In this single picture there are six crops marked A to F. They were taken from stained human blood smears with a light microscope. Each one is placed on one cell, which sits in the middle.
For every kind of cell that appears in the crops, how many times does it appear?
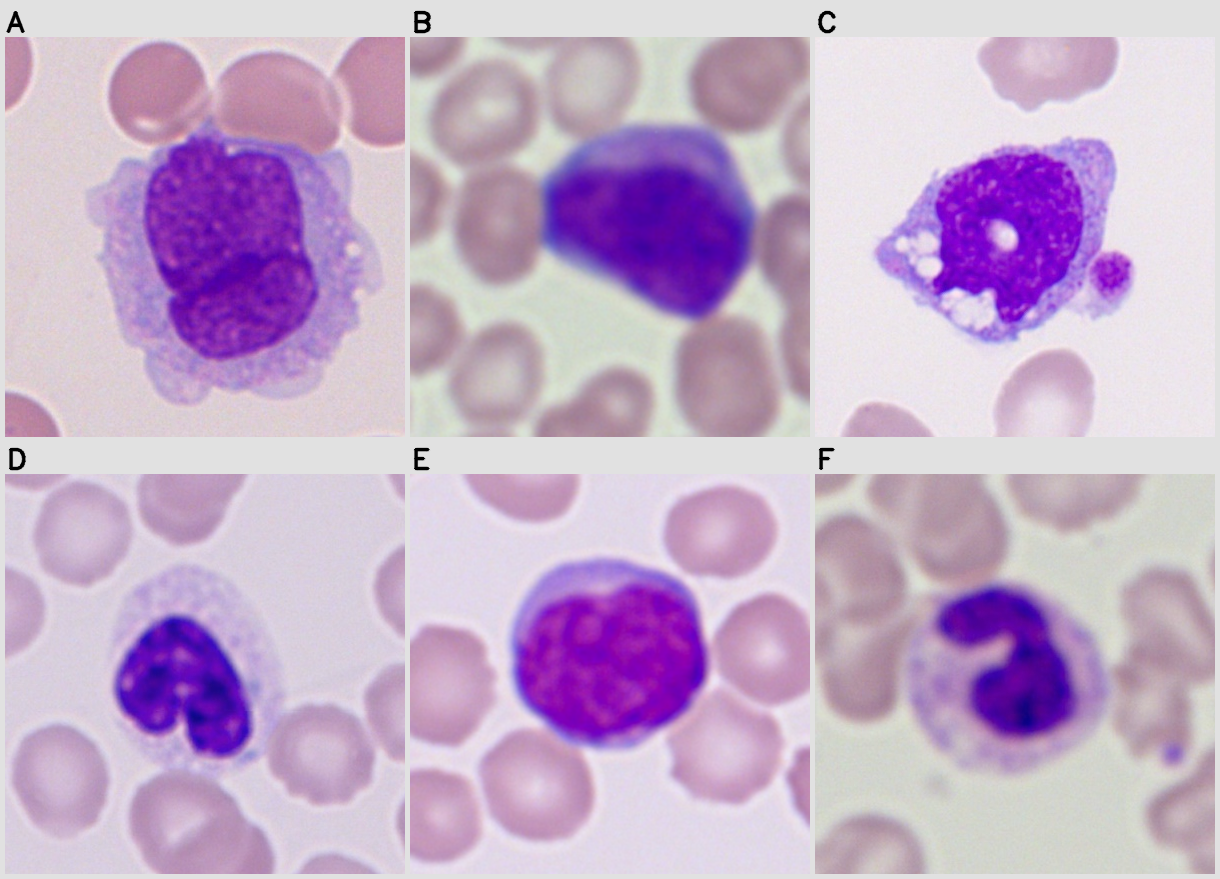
monocyte: 2
blast: 2
band neutrophil: 2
